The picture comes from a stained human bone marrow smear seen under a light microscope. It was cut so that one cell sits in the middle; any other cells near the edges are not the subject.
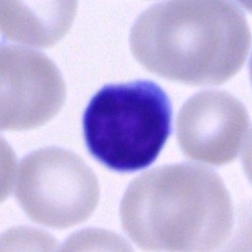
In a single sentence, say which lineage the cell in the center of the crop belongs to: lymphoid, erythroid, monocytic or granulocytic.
The middle cell should be classed under the lymphoid lineage.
